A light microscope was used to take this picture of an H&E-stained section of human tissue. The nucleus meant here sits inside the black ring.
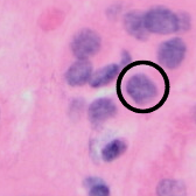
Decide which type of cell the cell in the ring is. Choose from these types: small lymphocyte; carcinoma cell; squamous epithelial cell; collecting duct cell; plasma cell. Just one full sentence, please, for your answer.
The identity of the cell in the ring is that of a collecting duct cell.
